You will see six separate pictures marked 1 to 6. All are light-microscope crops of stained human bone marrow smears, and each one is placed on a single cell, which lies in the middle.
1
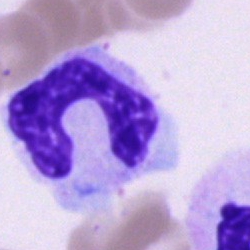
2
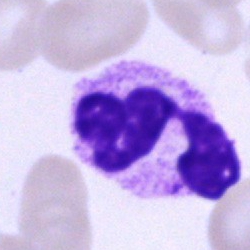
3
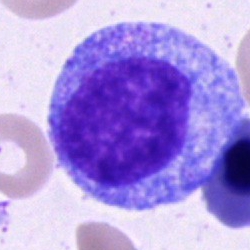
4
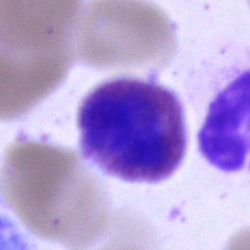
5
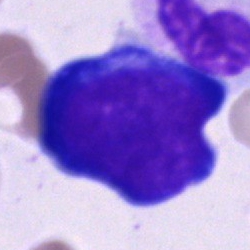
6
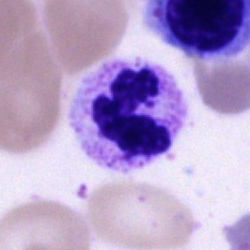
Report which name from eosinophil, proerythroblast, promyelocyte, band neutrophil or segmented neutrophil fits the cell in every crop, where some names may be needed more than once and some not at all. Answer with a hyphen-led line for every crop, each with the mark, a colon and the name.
- 1: band neutrophil
- 2: segmented neutrophil
- 3: promyelocyte
- 4: eosinophil
- 5: proerythroblast
- 6: segmented neutrophil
